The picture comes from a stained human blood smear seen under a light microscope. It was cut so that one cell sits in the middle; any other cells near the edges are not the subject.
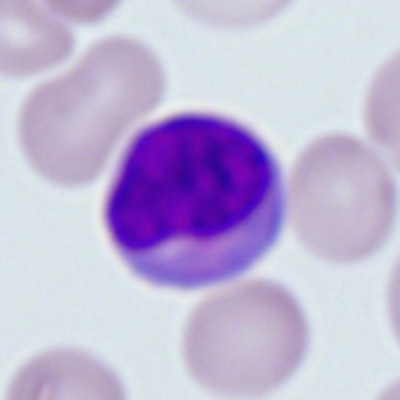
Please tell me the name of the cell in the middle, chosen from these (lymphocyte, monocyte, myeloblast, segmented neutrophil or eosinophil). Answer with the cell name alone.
lymphocyte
